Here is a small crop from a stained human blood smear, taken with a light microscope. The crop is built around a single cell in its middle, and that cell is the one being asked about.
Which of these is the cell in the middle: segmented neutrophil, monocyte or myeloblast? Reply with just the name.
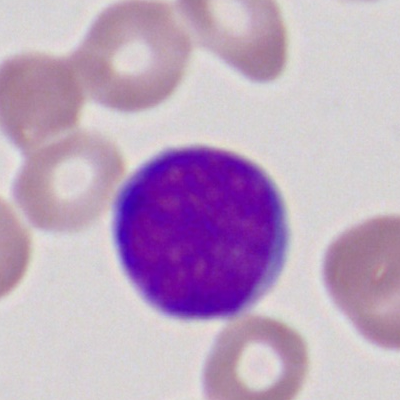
myeloblast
